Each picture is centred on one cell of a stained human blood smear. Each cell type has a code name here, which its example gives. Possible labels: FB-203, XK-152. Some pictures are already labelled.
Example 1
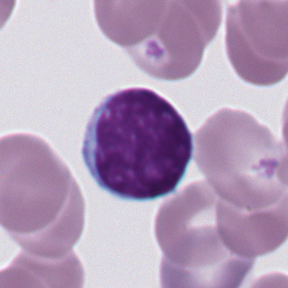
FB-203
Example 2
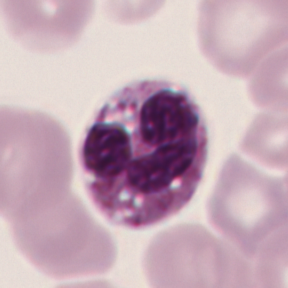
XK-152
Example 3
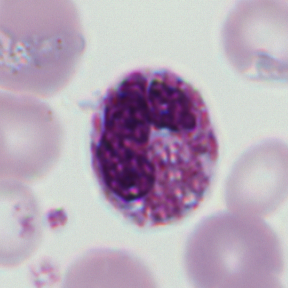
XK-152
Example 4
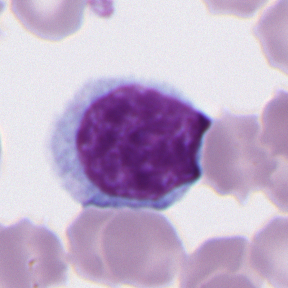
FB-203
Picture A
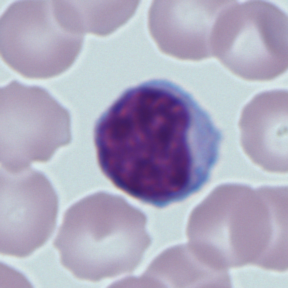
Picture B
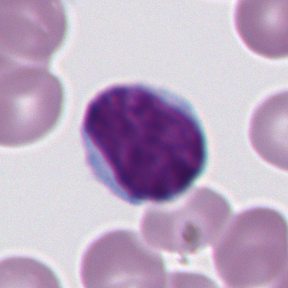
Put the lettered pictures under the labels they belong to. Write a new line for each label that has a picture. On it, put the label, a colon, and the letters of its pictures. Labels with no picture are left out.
FB-203: A, B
